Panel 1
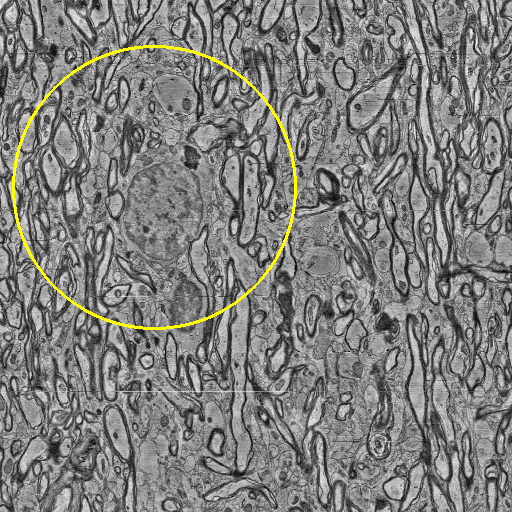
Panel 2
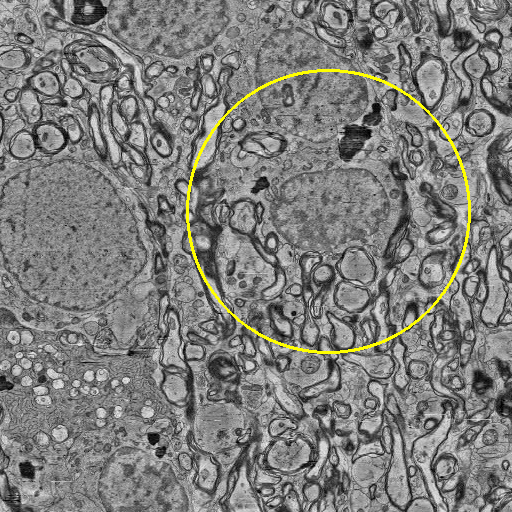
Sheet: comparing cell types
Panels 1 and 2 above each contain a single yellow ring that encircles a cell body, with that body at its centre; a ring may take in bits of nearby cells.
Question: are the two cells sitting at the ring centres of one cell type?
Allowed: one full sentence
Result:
Yes, the ring-centre cells in Panel 1 and Panel 2 are of one type.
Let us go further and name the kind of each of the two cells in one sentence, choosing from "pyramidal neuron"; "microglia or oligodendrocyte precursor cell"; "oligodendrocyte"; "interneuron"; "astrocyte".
Each of the two rings is centred on an oligodendrocyte.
